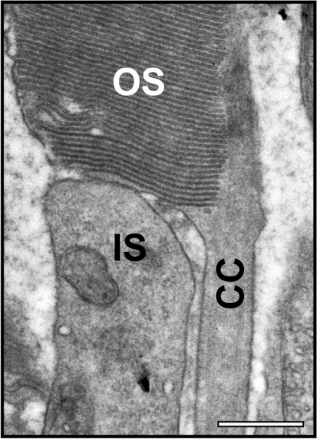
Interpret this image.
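This electron micrograph shows the junction between the outer segment and inner segment of a retinal cell, with its connecting cilium. In the upper part lies the outer segment, a dense block of many thin, closely packed membrane discs stacked in parallel rows. Beneath it is the paler, rounded inner segment with finely granular cytoplasm and a mitochondrion showing internal cristae. Along the right side a long, narrow connecting cilium runs vertically past the inner segment up to the base of the outer segment.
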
